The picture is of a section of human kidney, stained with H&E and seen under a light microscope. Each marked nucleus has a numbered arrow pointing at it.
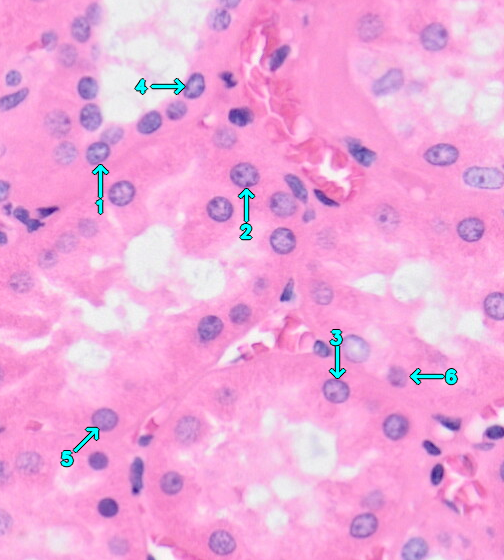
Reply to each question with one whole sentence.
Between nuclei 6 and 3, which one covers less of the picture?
With nucleus 3 about 1.5 times its size, nucleus 6 is the smaller of the two.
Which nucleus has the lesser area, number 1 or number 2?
The smaller nucleus is 1, and 2 covers roughly 1.5 times its area.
